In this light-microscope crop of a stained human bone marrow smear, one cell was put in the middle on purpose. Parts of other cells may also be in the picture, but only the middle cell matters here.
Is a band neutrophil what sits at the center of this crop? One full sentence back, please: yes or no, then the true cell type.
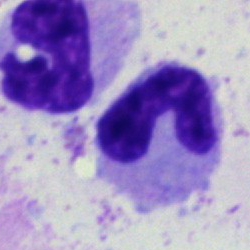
Yes, at the centre of the crop lies a band neutrophil.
